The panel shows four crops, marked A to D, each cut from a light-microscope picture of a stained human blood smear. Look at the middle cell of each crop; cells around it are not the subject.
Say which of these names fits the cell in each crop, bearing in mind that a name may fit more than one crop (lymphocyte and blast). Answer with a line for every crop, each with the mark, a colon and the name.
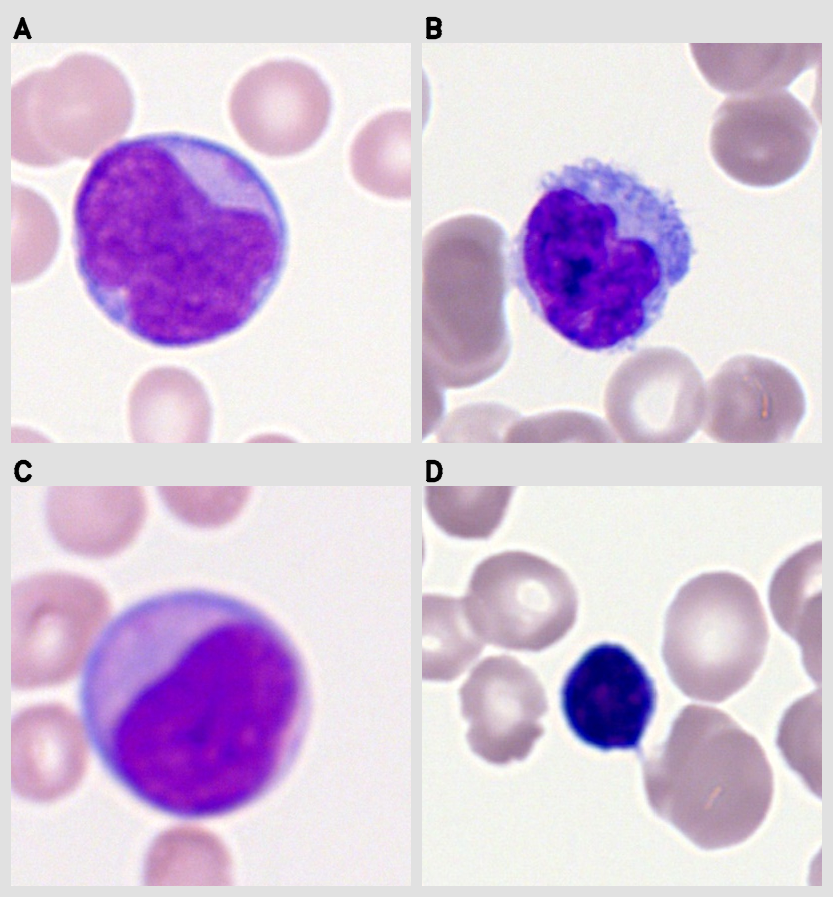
A: blast
B: lymphocyte
C: blast
D: lymphocyte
